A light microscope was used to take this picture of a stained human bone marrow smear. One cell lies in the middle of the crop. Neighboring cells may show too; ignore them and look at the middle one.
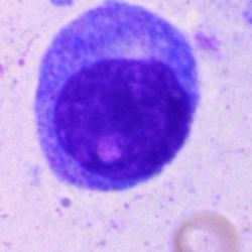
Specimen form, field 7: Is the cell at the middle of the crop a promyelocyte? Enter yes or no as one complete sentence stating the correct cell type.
Yes, the cell positioned in the middle is a promyelocyte.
